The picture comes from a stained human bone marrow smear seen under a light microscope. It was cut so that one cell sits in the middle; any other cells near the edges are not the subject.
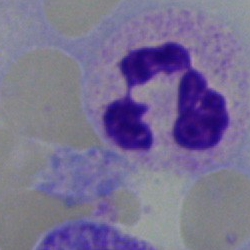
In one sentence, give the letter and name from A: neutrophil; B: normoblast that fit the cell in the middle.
Option A is the correct option, with the middle cell being a neutrophil.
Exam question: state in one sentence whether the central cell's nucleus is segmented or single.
The nucleus has been partitioned into two or more lobes.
